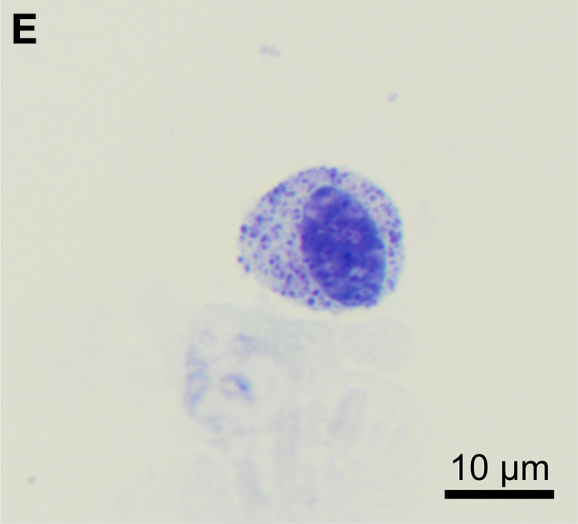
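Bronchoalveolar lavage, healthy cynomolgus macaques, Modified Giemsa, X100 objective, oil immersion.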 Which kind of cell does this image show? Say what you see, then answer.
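A round cell with a single oval nucleus. The cytoplasm is packed with coarse dark purple granules.
Answer: Mast cell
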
